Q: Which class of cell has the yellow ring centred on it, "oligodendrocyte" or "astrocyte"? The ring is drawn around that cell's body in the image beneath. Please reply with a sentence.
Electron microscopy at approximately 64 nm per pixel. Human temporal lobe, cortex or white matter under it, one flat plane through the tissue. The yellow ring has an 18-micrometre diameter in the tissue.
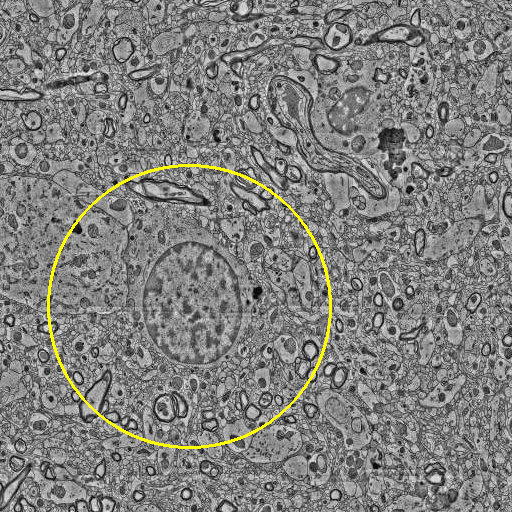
It is centred on an oligodendrocyte.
